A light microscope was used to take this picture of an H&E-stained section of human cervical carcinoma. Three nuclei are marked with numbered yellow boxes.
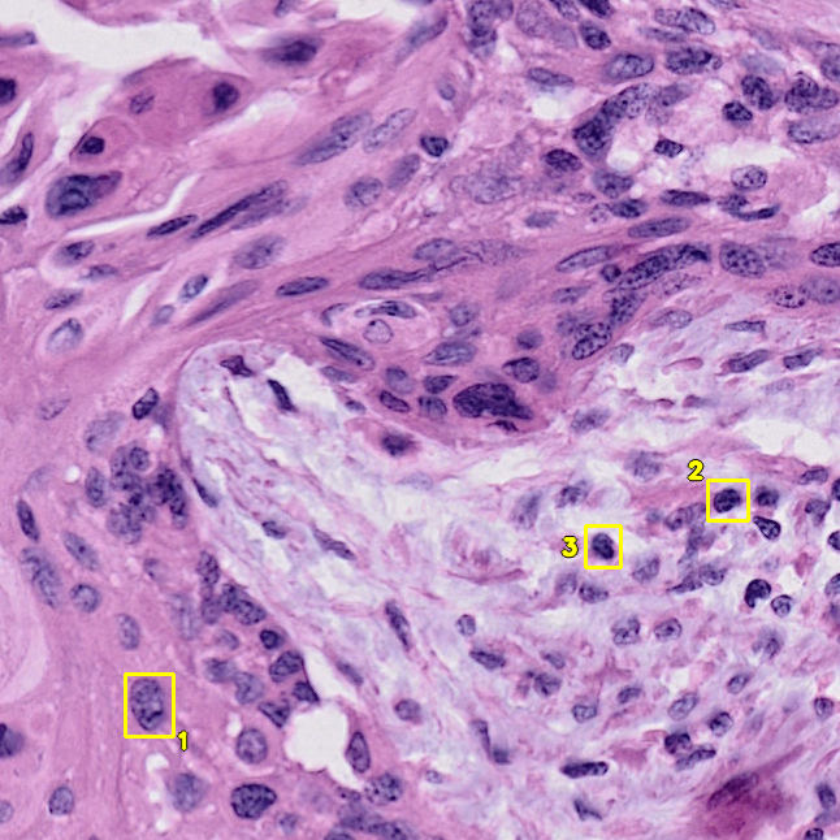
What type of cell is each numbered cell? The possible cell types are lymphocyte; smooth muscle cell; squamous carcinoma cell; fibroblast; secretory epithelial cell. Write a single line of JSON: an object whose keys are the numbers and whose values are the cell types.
{"1": "squamous carcinoma cell", "2": "lymphocyte", "3": "lymphocyte"}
